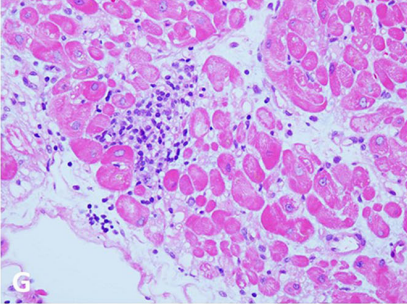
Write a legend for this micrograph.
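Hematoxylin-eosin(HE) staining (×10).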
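Heart muscle in cross and oblique section shows pink cardiac myocytes with central nuclei, interrupted by a focal cluster of small round cells with dark purple nuclei and little cytoplasm, consistent with lymphocytes. The infiltrate sits among the myocytes, and the surrounding tissue includes loose, pale interstitial space.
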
